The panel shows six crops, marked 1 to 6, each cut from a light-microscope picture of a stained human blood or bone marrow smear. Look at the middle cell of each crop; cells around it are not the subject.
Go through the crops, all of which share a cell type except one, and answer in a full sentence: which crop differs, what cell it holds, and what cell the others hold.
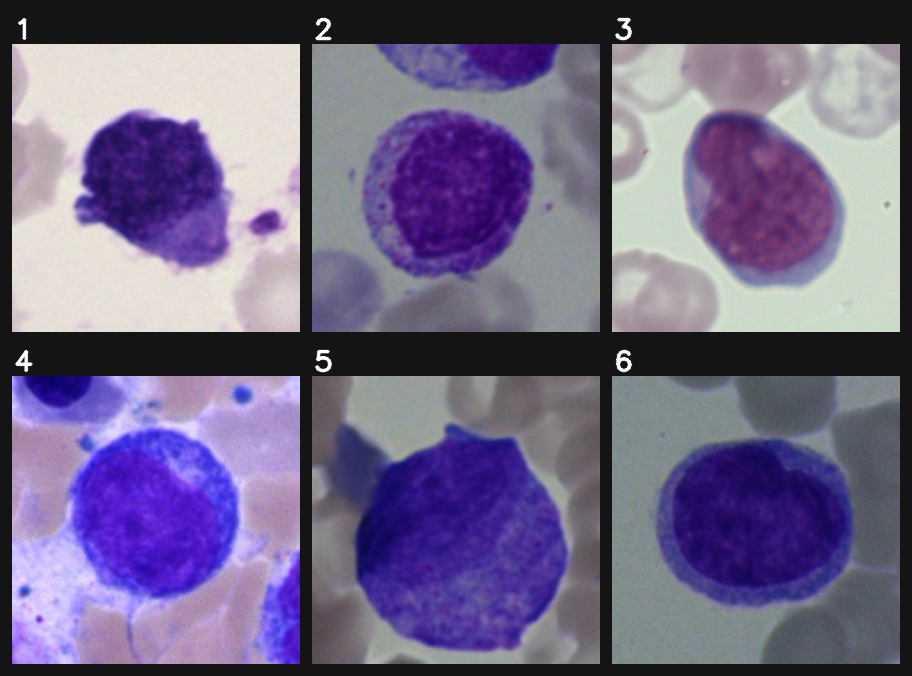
Crop 2 is the exception in this set, showing a myelocyte while the others show blasts.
